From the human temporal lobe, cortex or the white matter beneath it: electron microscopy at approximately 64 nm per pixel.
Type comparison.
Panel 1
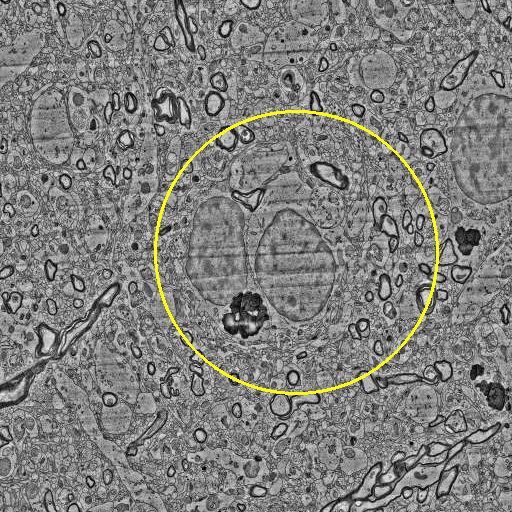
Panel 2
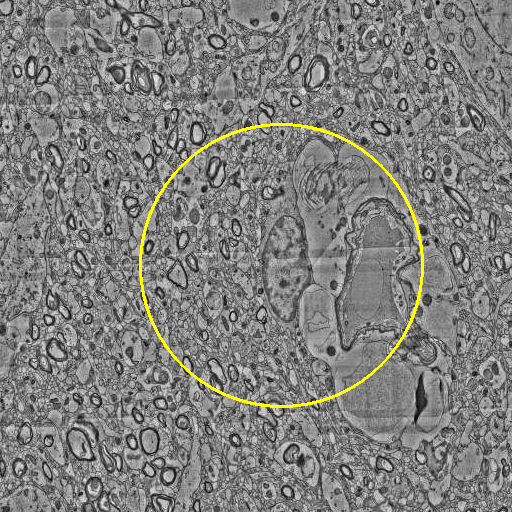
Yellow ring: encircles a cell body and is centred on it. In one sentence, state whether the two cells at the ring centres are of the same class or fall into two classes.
In these panels, the two cells at the ring centres fall into two classes.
